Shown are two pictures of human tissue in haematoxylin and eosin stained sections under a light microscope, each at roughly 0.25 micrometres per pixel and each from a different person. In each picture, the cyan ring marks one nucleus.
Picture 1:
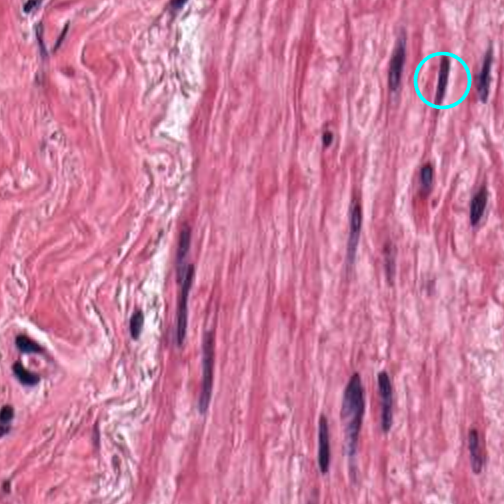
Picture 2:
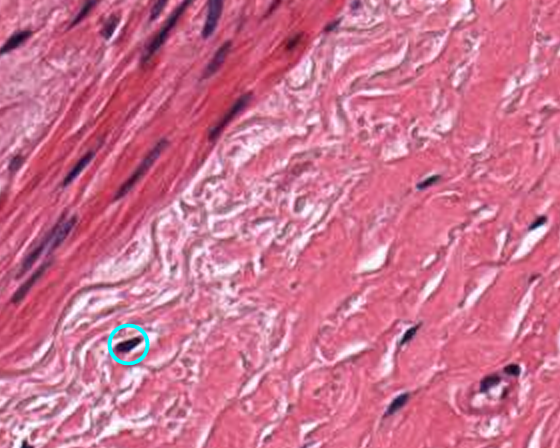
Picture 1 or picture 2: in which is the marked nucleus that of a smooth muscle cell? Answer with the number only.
1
